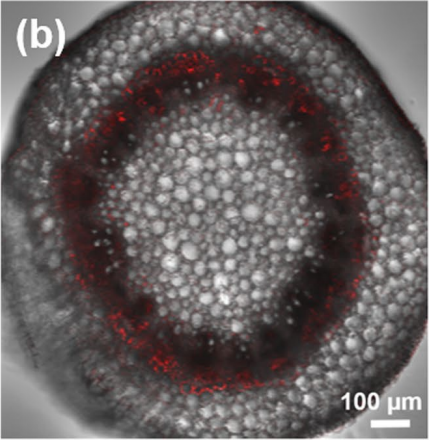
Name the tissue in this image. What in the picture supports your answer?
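A round cross-section of a plant organ. A central core of large rounded cells surrounded by a ring and an outer layer of cells. The answer: stem.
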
